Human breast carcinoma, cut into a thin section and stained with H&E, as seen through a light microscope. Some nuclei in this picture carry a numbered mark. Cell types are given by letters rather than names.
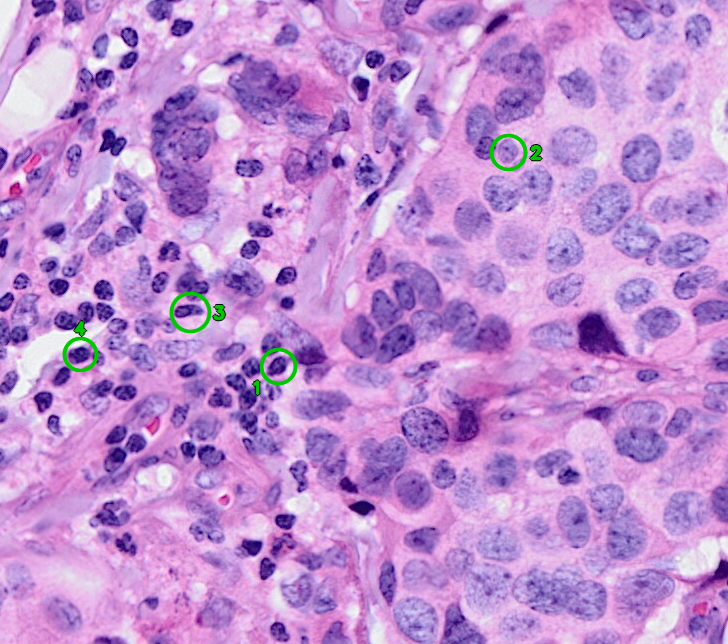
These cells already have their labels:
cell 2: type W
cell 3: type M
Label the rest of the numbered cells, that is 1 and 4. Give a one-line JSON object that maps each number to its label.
{"1": "type M", "4": "type M"}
